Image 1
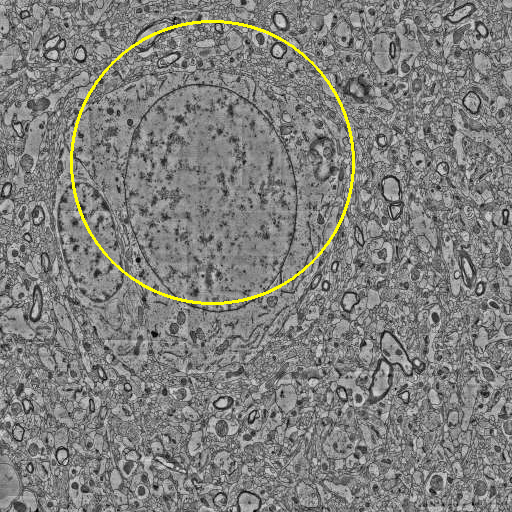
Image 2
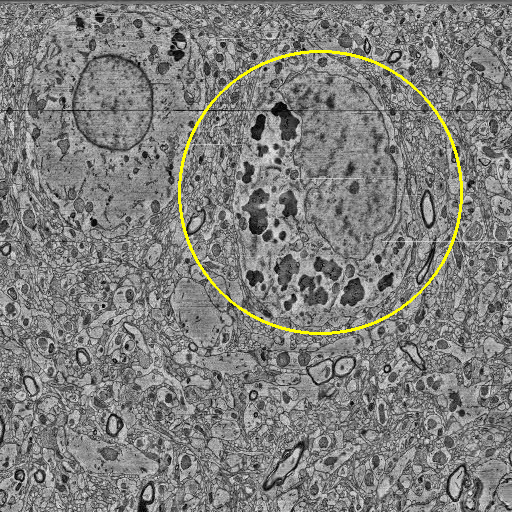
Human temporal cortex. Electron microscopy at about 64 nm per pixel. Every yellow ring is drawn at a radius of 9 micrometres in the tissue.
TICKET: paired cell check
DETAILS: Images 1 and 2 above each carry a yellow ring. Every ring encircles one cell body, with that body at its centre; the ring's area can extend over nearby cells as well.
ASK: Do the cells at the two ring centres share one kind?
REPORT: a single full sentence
No, the ring-centre cells of Images 1 and 2 belong to two kinds.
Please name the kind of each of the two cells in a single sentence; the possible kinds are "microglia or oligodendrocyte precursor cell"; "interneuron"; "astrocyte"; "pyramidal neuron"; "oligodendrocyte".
In the first picture the ring is centred on a pyramidal neuron, and in the second on an interneuron.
